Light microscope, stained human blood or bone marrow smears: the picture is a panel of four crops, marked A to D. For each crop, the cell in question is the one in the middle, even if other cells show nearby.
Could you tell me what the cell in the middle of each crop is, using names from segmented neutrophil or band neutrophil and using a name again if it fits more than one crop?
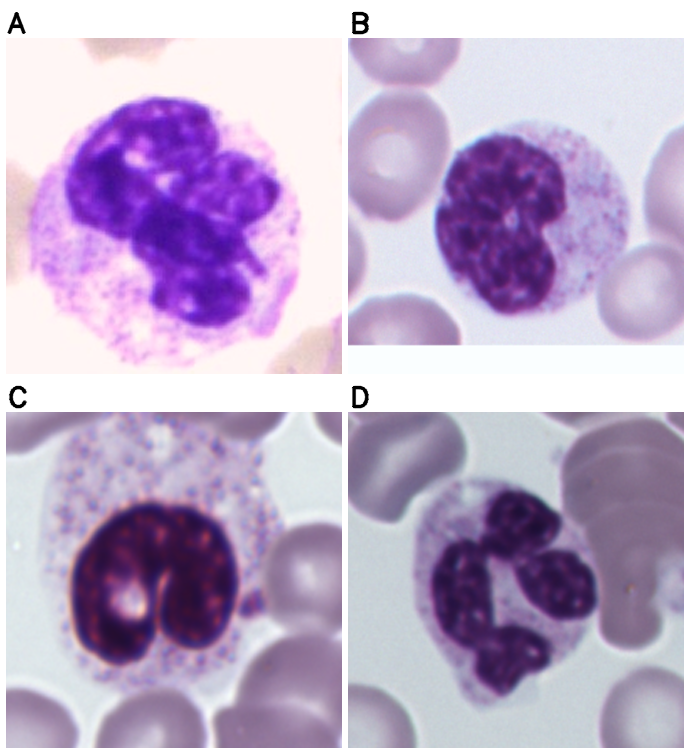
A: segmented neutrophil
B: segmented neutrophil
C: band neutrophil
D: segmented neutrophil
